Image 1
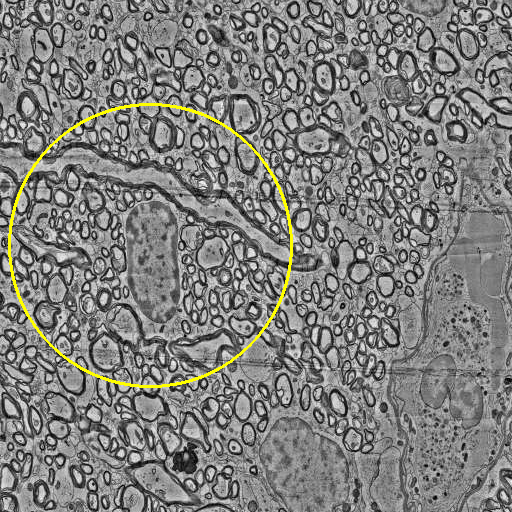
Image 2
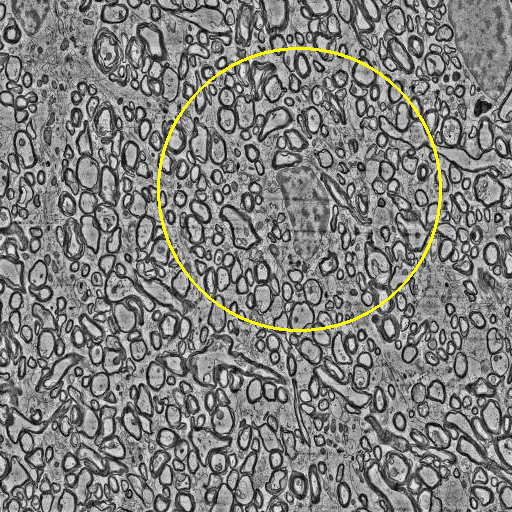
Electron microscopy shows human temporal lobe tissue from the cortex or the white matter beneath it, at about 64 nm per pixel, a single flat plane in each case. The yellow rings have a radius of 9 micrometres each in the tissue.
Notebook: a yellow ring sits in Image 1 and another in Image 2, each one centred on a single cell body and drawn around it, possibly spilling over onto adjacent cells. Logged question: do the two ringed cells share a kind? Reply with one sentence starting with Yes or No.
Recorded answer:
Yes, both centre cells inside the rings of Image 1 and Image 2 share one kind.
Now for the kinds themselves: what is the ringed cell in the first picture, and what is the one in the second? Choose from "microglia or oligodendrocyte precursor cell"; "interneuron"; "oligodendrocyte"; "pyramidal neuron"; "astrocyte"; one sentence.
Both cells are the same kind, each one being a microglial cell or oligodendrocyte precursor cell.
